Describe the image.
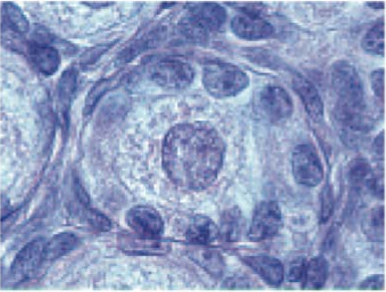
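This section of ovary shows a primary follicle, an oocyte surrounded by a ring of supporting cells. The oocyte has pale, granular cytoplasm and a round, purple-stained nucleus. The cells encircling it have rounder, plumper nuclei than the flat cells of a resting follicle and form a more continuous layer. Outside this layer, elongated spindle-shaped stromal cells with dark nuclei wrap around the follicle.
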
